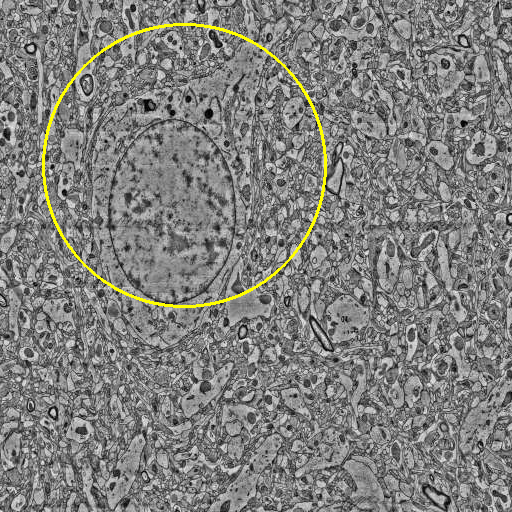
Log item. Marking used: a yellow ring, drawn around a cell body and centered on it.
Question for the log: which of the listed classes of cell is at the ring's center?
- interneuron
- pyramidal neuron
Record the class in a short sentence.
At the center of the ring lies a pyramidal neuron.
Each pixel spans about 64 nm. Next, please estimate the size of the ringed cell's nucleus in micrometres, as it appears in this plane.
In this plane the nucleus is about 12 micrometres by 8.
